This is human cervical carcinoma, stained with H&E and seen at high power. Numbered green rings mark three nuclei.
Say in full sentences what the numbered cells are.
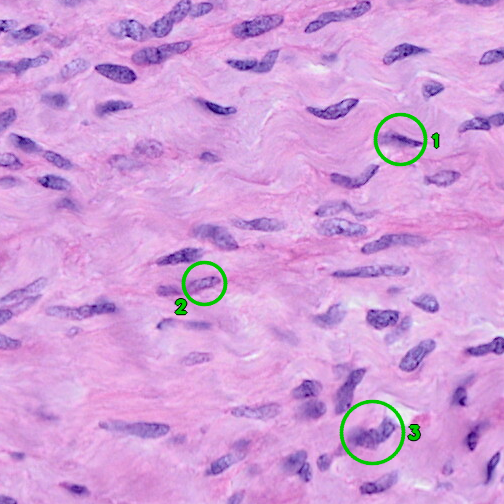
Cell 1 is a fibroblast, cell 2 is a smooth muscle cell and cell 3 is a fibroblast.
